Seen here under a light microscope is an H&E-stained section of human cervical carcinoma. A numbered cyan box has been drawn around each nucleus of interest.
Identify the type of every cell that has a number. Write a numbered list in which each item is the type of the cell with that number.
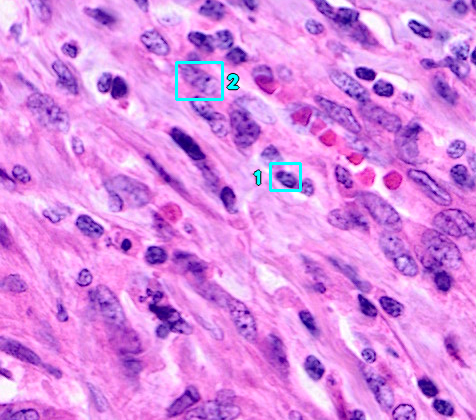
1. lymphocyte
2. endothelial cell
